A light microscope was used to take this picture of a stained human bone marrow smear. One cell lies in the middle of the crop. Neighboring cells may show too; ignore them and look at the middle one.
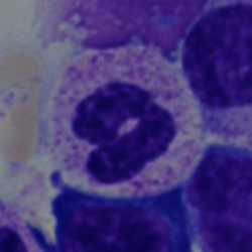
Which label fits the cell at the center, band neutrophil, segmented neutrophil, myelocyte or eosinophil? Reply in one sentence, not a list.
The cell shown in the center of this light-microscope crop is a segmented neutrophil.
